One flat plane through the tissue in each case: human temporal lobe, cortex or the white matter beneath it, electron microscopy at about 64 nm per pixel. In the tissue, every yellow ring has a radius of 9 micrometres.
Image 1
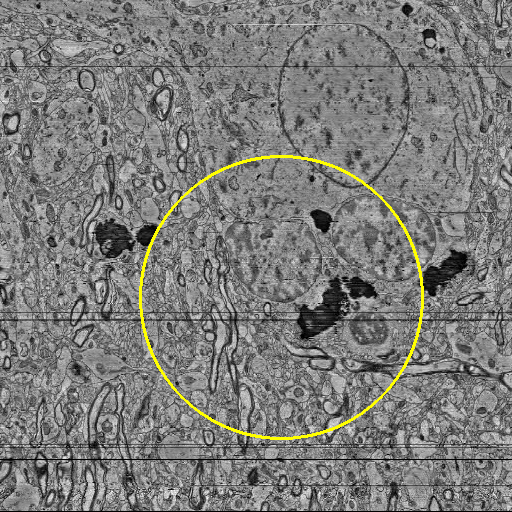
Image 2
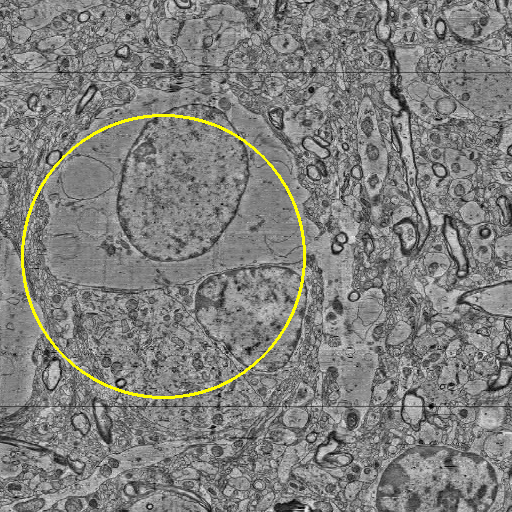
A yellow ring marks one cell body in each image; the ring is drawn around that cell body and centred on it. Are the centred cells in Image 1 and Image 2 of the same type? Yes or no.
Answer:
no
